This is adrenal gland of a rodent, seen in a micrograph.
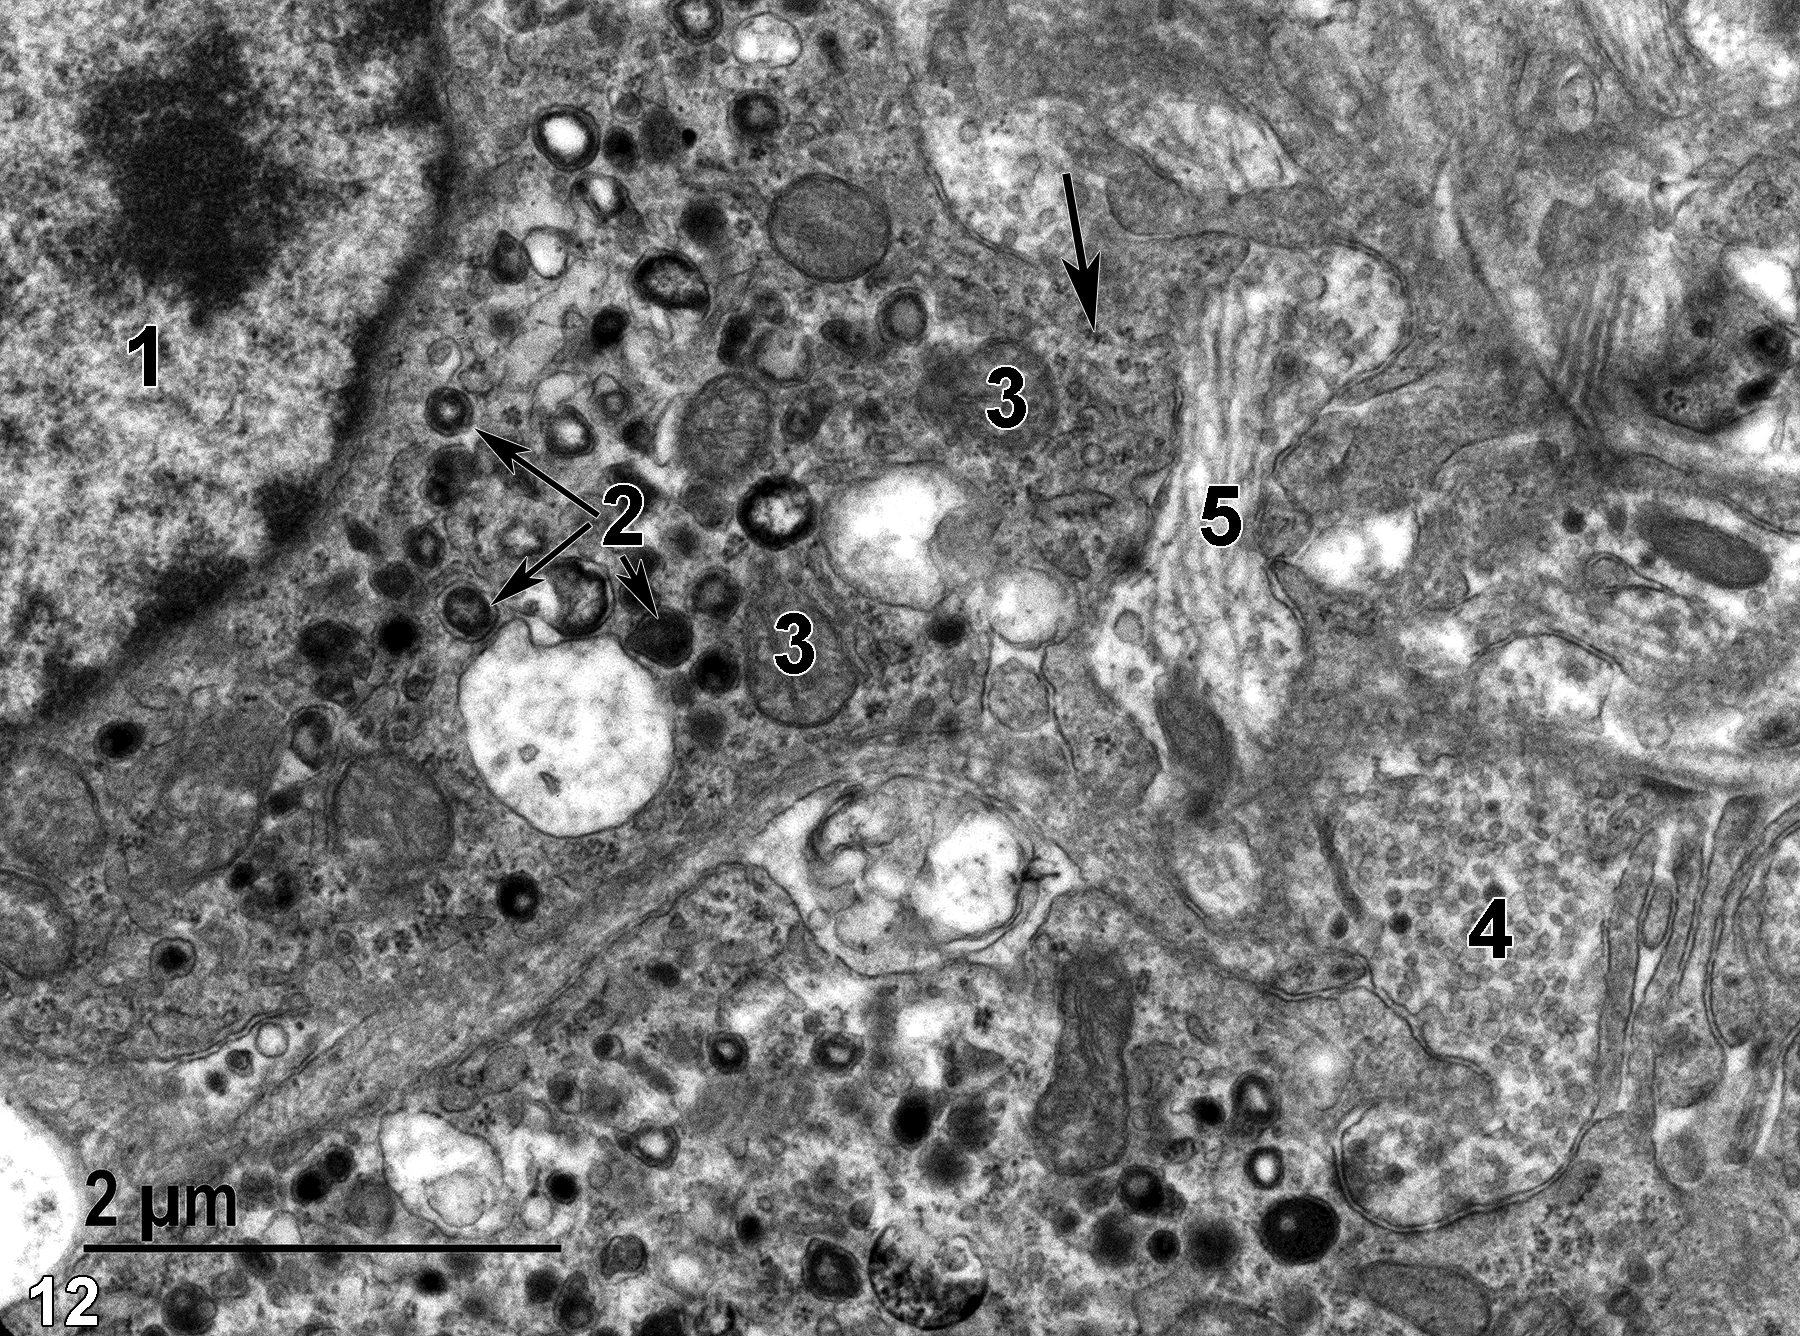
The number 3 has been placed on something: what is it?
mitochondria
